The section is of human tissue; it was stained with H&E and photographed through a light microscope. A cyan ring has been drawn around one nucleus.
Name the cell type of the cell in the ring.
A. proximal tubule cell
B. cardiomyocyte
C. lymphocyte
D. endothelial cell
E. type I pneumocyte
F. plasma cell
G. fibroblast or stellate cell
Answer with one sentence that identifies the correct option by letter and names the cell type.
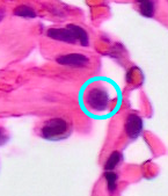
In short, option E: the cell in the ring is a type I pneumocyte.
